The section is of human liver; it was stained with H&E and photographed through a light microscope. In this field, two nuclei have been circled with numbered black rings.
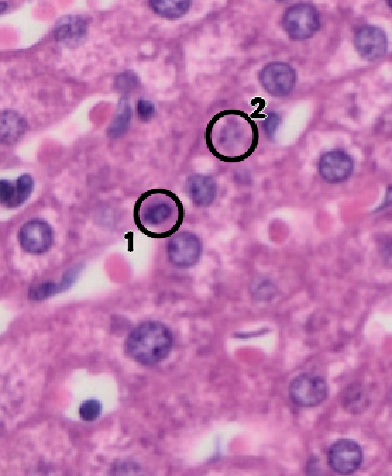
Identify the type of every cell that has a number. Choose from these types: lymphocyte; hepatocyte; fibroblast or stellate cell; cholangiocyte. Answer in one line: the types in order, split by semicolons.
fibroblast or stellate cell; hepatocyte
